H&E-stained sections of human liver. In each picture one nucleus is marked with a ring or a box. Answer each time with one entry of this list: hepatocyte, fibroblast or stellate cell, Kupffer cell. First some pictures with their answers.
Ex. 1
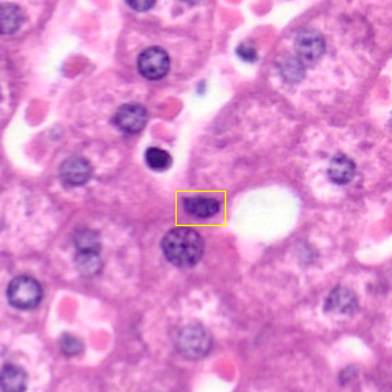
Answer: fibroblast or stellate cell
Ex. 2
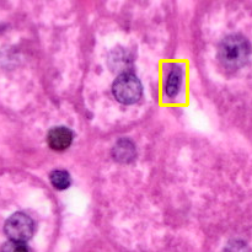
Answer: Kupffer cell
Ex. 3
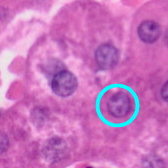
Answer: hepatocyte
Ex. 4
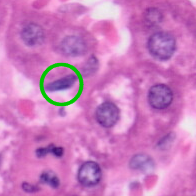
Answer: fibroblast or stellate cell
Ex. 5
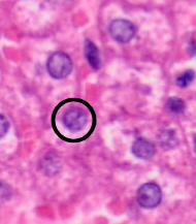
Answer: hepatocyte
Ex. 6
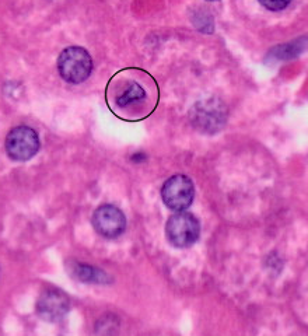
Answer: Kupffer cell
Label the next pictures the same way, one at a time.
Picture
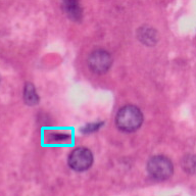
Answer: fibroblast or stellate cell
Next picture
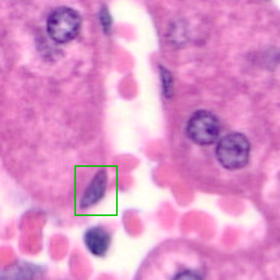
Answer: fibroblast or stellate cell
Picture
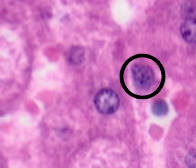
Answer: Kupffer cell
